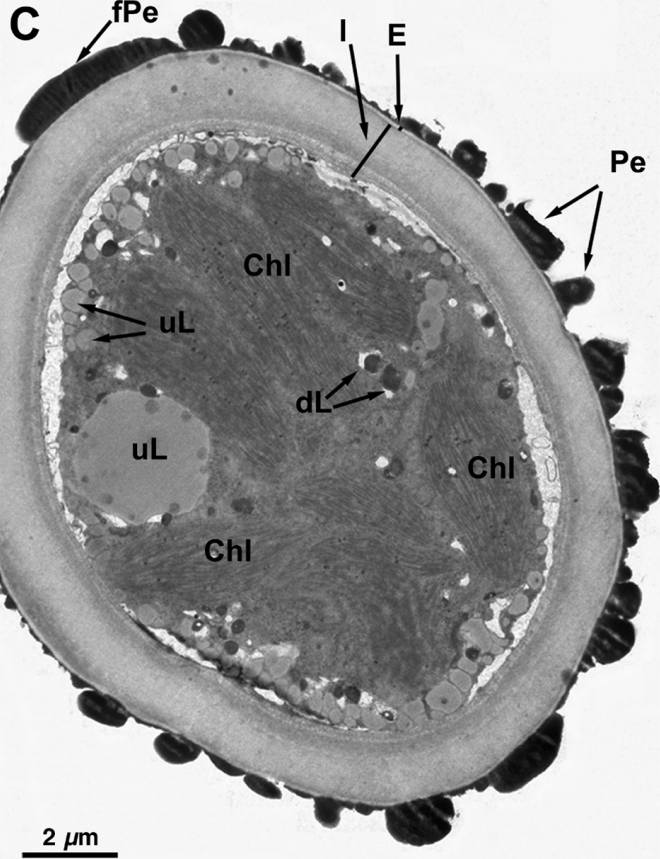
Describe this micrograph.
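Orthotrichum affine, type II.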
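A section through a whole spore shows a thick, pale, uniform wall layer beneath a thin outer wall layer, with dark club-shaped and fused ornament elements projecting from the surface. The cytoplasm is largely filled by well-developed plastids with long parallel lamellar membrane stacks. Numerous small rounded lipid droplets, mostly grey and some dark, crowd the periphery, and one large pale lipid droplet lies on one side. A pale, loosely textured gap separates the cytoplasm from the wall in places.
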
